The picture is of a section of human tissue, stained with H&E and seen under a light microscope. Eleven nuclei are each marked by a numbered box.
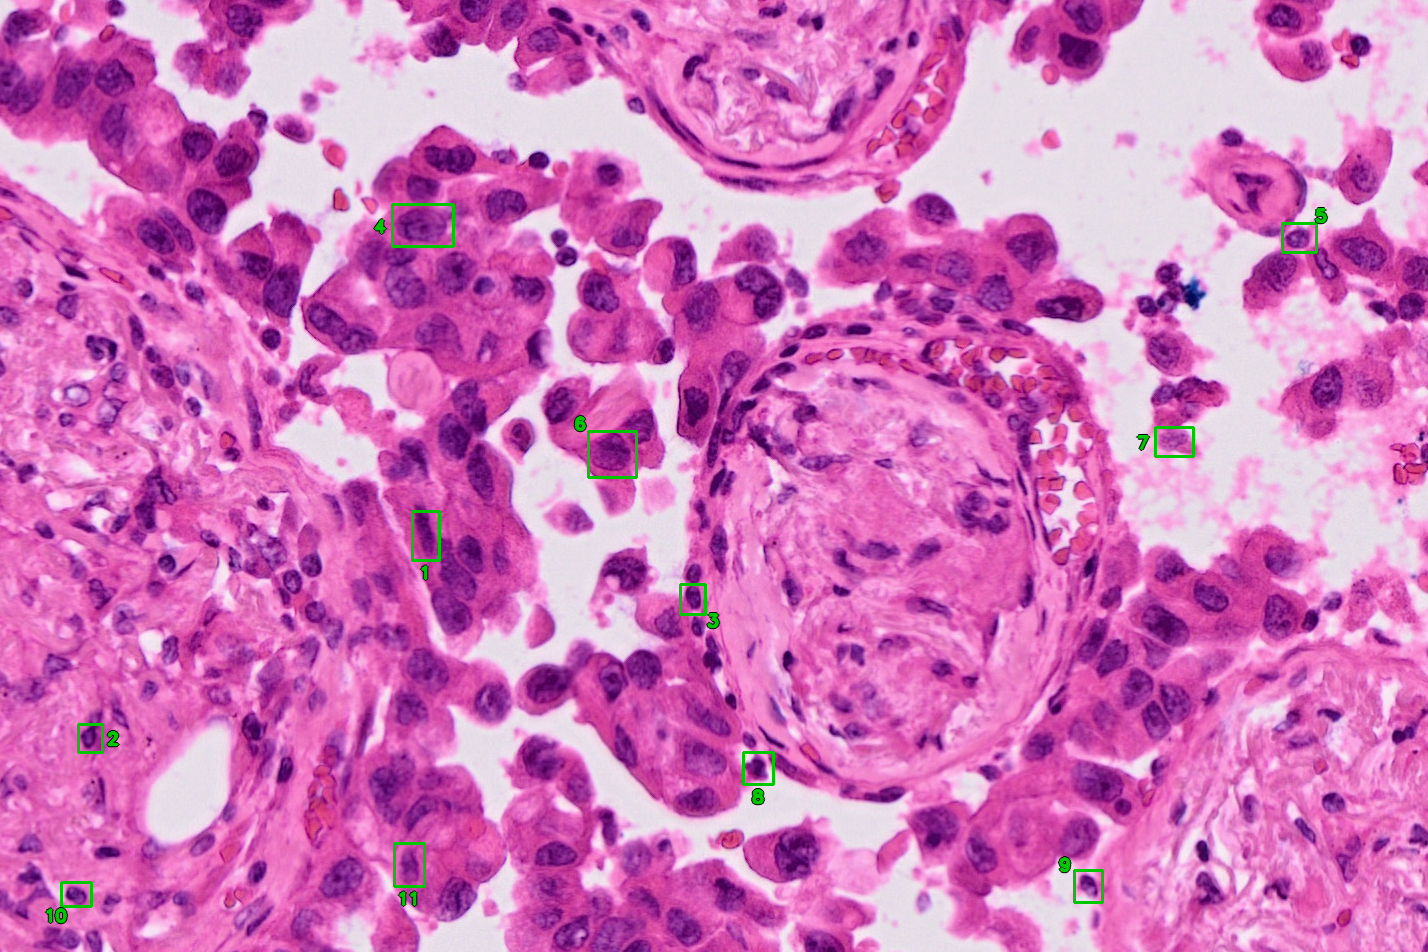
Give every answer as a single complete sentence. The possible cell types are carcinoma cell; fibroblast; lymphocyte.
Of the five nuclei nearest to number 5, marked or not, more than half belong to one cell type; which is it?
Around number 5, most of the five nearest nuclei are those of fibroblasts.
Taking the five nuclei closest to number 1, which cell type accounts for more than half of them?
Carcinoma cells account for more than half of the five nuclei nearest to number 1.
